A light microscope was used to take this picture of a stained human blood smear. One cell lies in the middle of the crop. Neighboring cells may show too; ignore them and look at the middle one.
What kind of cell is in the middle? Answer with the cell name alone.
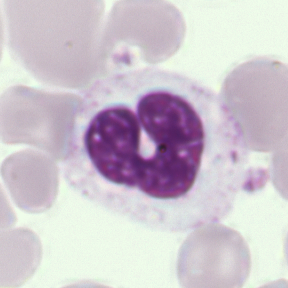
band neutrophil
